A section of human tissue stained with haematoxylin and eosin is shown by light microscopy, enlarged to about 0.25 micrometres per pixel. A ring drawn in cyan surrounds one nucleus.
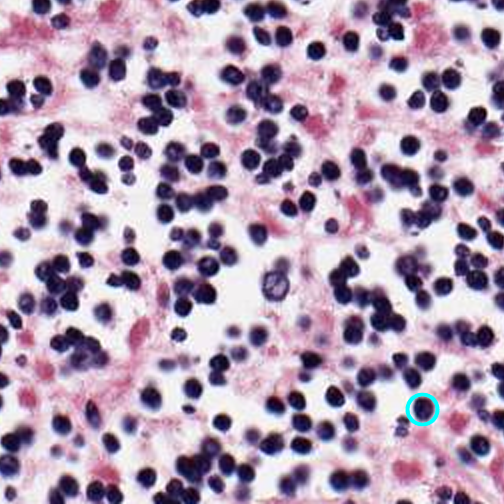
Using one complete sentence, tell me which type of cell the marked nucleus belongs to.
A nucleus of a cerebellar granule cell is the one that is marked.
